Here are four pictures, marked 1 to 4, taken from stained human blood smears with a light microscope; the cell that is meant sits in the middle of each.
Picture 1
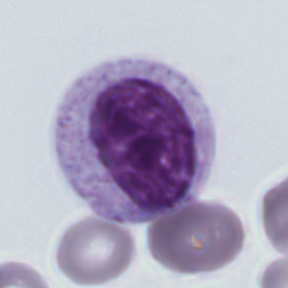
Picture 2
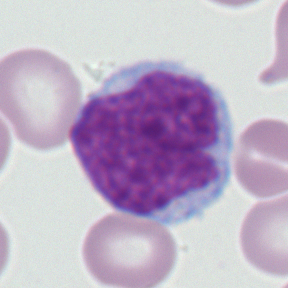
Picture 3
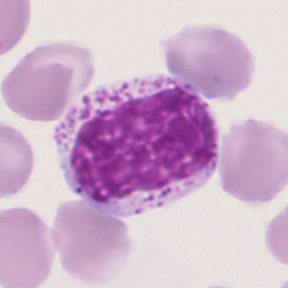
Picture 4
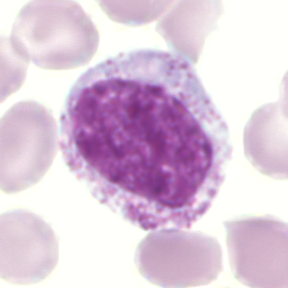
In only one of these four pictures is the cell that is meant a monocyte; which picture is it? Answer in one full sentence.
The monocyte is the one in picture 2.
